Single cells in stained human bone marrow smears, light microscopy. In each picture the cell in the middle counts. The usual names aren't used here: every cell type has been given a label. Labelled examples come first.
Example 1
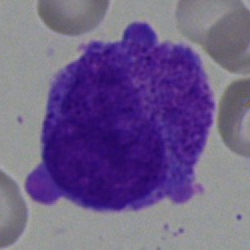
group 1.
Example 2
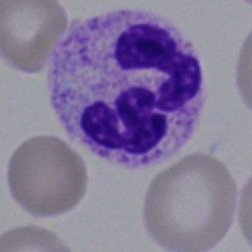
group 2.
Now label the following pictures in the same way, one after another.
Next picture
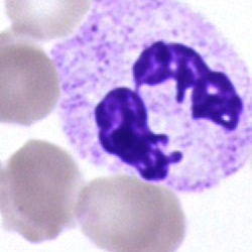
group 2.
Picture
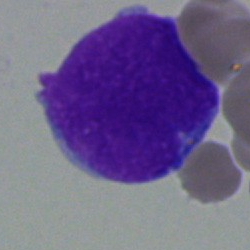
group 1.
